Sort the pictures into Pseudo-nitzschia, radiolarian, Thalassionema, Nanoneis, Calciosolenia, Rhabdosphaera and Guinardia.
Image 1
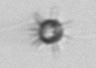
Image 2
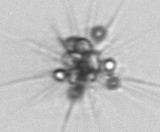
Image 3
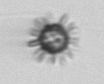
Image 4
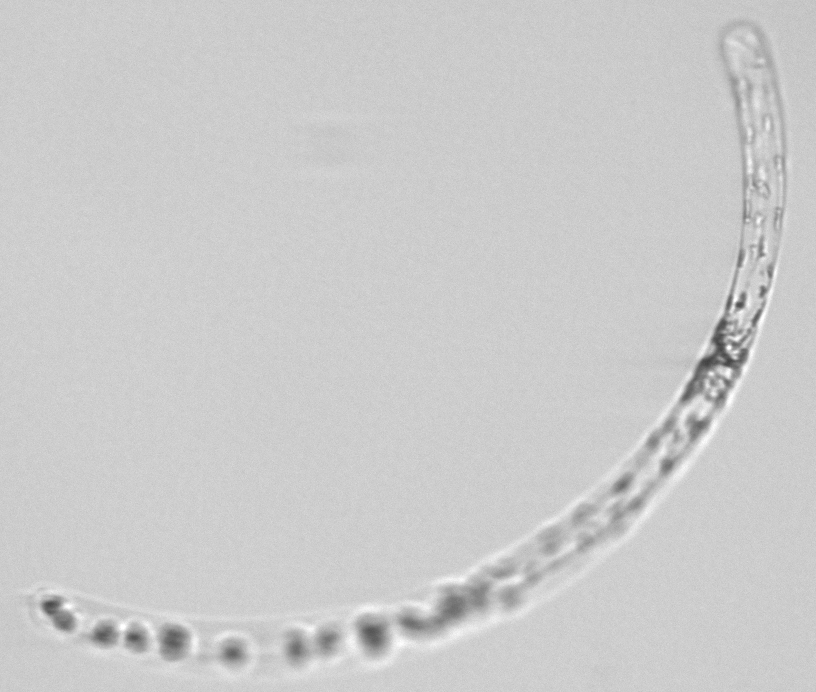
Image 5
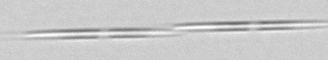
Rhabdosphaera: 1, 3
Radiolarians: 2
Guinardia: 4
Pseudo-nitzschia: 5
